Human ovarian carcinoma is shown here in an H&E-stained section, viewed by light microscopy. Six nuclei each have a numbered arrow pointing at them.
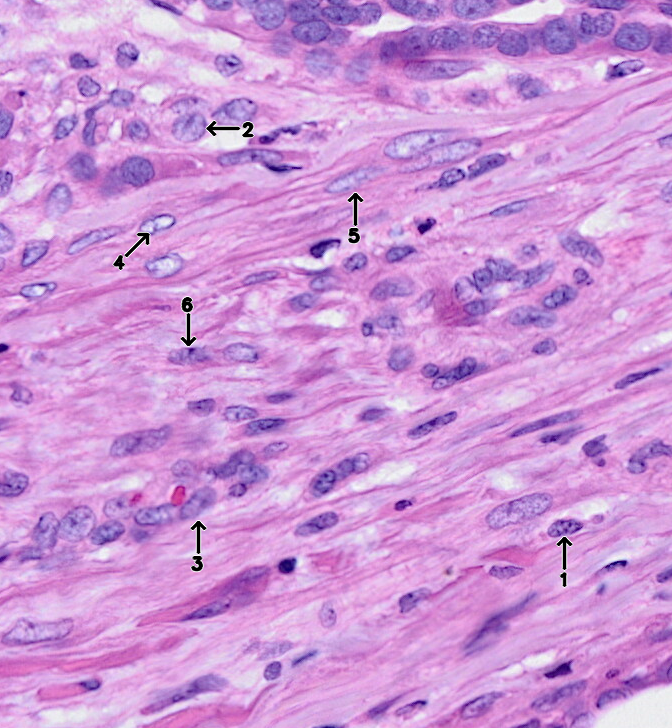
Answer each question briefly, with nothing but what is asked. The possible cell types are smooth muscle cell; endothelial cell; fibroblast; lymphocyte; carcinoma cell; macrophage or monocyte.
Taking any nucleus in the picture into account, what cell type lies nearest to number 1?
fibroblast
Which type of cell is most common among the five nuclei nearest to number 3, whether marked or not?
endothelial cell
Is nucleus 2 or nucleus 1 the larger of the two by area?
2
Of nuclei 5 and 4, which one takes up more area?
5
